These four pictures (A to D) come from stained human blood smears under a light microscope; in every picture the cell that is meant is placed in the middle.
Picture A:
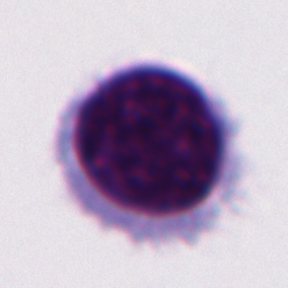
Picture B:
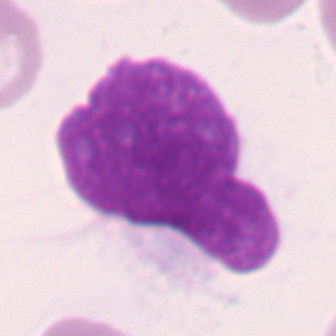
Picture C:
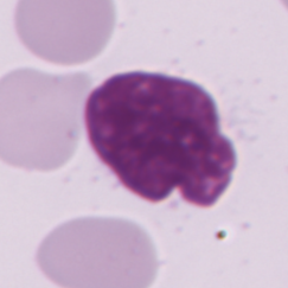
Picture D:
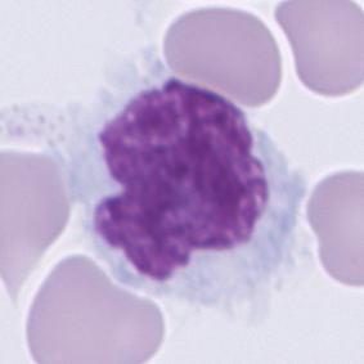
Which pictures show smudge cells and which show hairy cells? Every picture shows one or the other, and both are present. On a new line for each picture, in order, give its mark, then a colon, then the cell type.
A: hairy cell
B: smudge cell
C: smudge cell
D: hairy cell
